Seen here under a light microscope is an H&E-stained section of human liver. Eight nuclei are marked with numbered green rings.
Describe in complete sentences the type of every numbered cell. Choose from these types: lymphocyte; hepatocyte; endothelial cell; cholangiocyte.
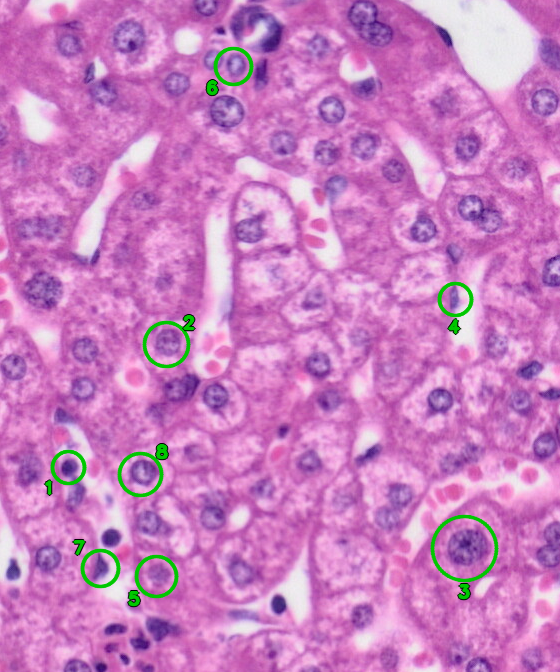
Cell 1 is a lymphocyte, cell 2 is a hepatocyte, cell 3 is a hepatocyte, cell 4 is an endothelial cell, cell 5 is a hepatocyte, cell 6 is a cholangiocyte, cell 7 is an endothelial cell and cell 8 is a hepatocyte.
